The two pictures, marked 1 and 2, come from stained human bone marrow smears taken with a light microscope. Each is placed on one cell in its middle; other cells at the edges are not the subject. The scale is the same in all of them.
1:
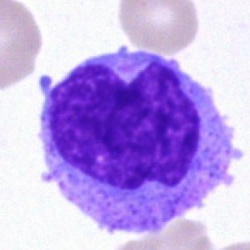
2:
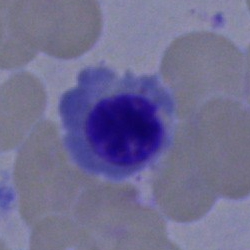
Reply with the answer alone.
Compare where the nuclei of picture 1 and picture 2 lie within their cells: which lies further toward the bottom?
2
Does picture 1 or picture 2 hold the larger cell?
1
